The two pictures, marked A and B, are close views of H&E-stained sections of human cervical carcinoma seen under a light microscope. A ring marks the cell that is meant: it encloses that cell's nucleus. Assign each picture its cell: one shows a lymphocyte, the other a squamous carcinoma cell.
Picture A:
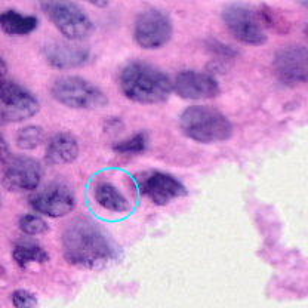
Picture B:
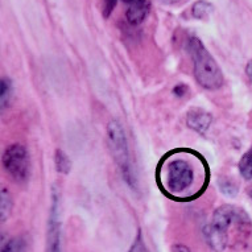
A: squamous carcinoma cell
B: lymphocyte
